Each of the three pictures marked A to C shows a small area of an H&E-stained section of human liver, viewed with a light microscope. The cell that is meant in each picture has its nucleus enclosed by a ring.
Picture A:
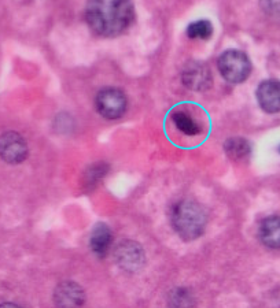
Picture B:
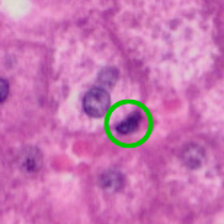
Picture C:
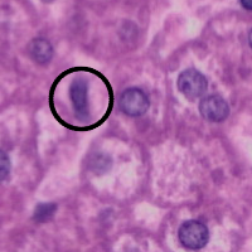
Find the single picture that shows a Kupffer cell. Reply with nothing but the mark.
C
